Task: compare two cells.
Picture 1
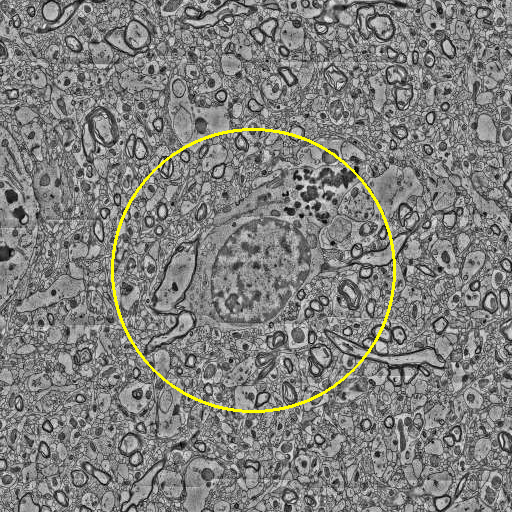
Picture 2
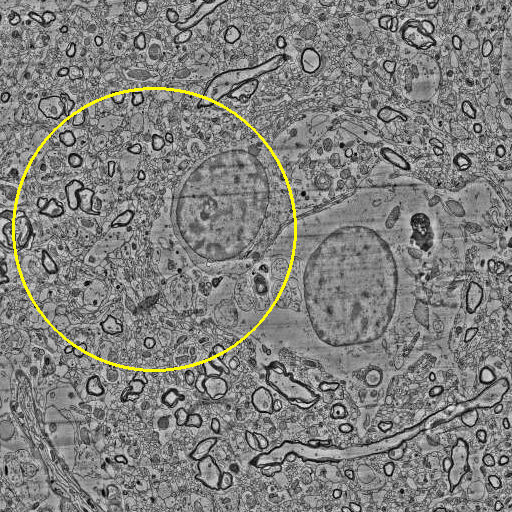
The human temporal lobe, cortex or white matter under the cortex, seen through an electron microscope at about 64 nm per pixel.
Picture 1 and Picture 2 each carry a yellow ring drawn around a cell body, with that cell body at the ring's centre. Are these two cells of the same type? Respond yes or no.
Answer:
yes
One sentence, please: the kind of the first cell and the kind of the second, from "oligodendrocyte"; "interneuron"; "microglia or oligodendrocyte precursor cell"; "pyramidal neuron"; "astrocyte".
The first and the second cell are each an oligodendrocyte.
